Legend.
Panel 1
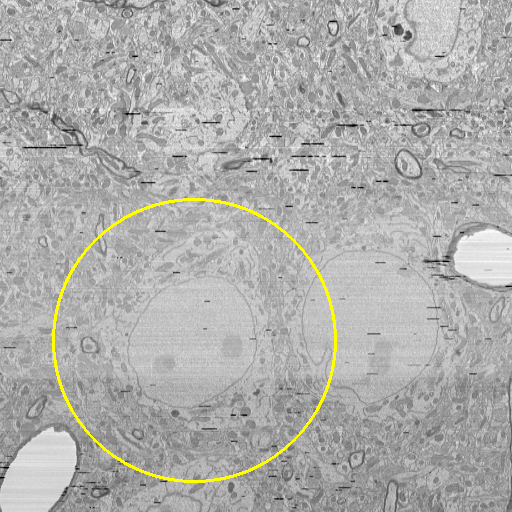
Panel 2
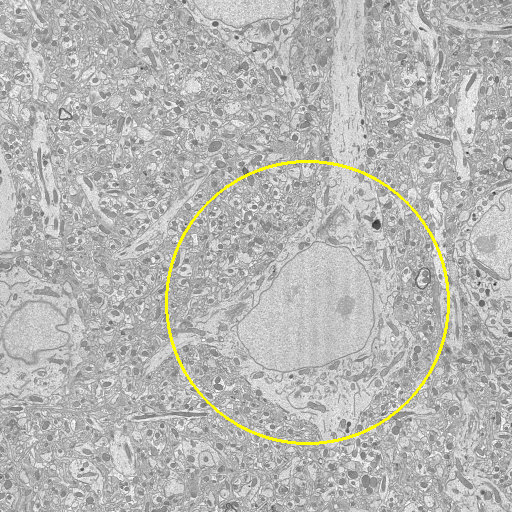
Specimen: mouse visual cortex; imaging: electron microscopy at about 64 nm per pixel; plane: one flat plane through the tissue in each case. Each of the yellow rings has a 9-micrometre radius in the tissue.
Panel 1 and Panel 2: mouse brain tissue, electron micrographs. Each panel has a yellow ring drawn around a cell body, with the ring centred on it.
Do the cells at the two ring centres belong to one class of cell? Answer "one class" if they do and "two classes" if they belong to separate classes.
one class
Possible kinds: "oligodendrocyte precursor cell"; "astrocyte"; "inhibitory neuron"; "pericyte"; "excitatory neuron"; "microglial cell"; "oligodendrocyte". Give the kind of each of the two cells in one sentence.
Both the first and the second picture show an excitatory neuron in the ring.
